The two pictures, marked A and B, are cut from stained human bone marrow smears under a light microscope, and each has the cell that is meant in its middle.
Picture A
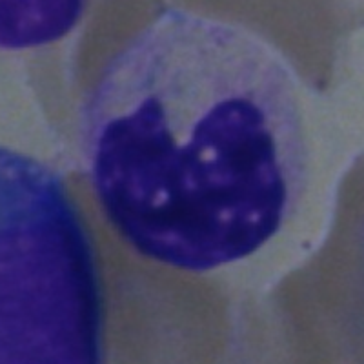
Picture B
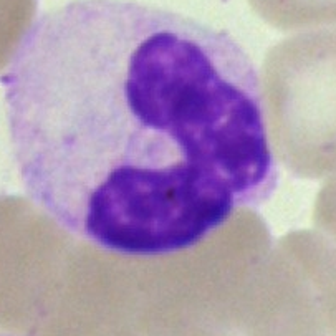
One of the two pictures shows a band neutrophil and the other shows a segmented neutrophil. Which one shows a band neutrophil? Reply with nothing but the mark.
A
